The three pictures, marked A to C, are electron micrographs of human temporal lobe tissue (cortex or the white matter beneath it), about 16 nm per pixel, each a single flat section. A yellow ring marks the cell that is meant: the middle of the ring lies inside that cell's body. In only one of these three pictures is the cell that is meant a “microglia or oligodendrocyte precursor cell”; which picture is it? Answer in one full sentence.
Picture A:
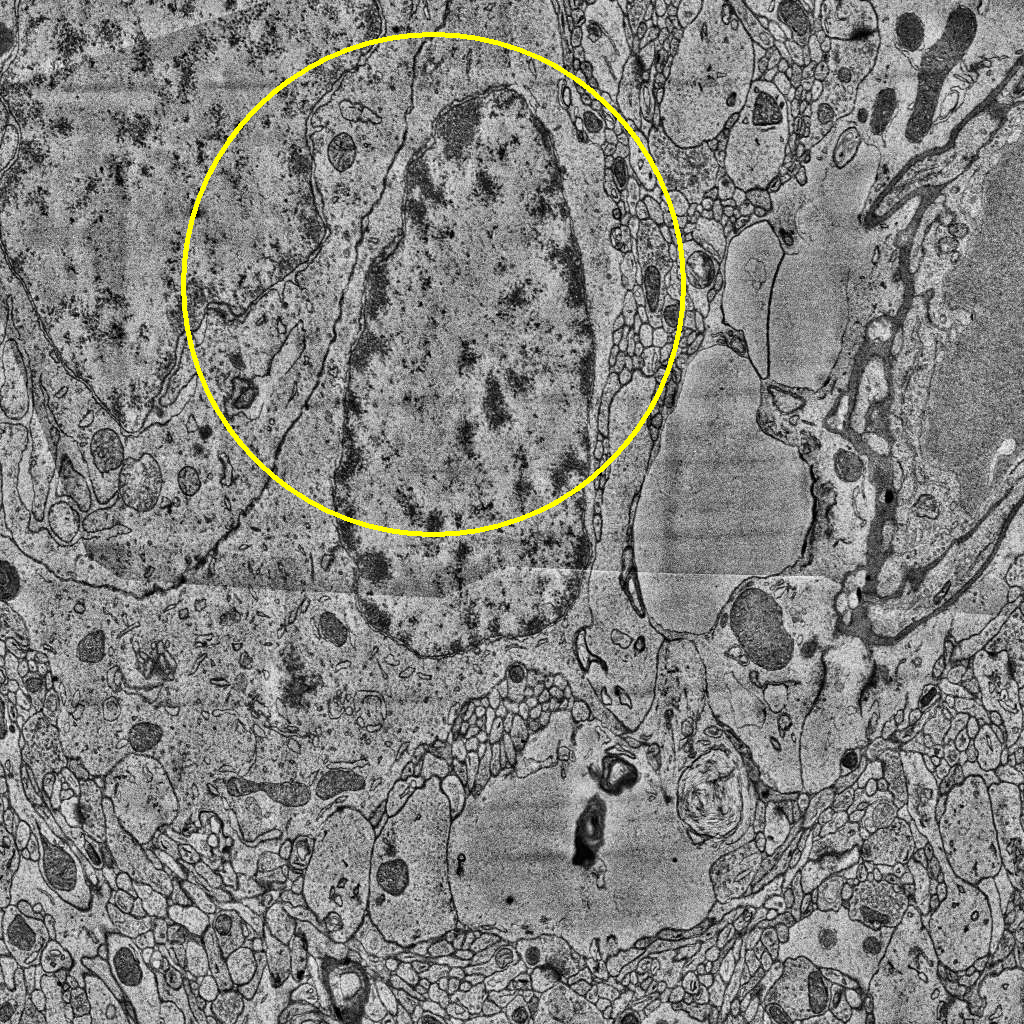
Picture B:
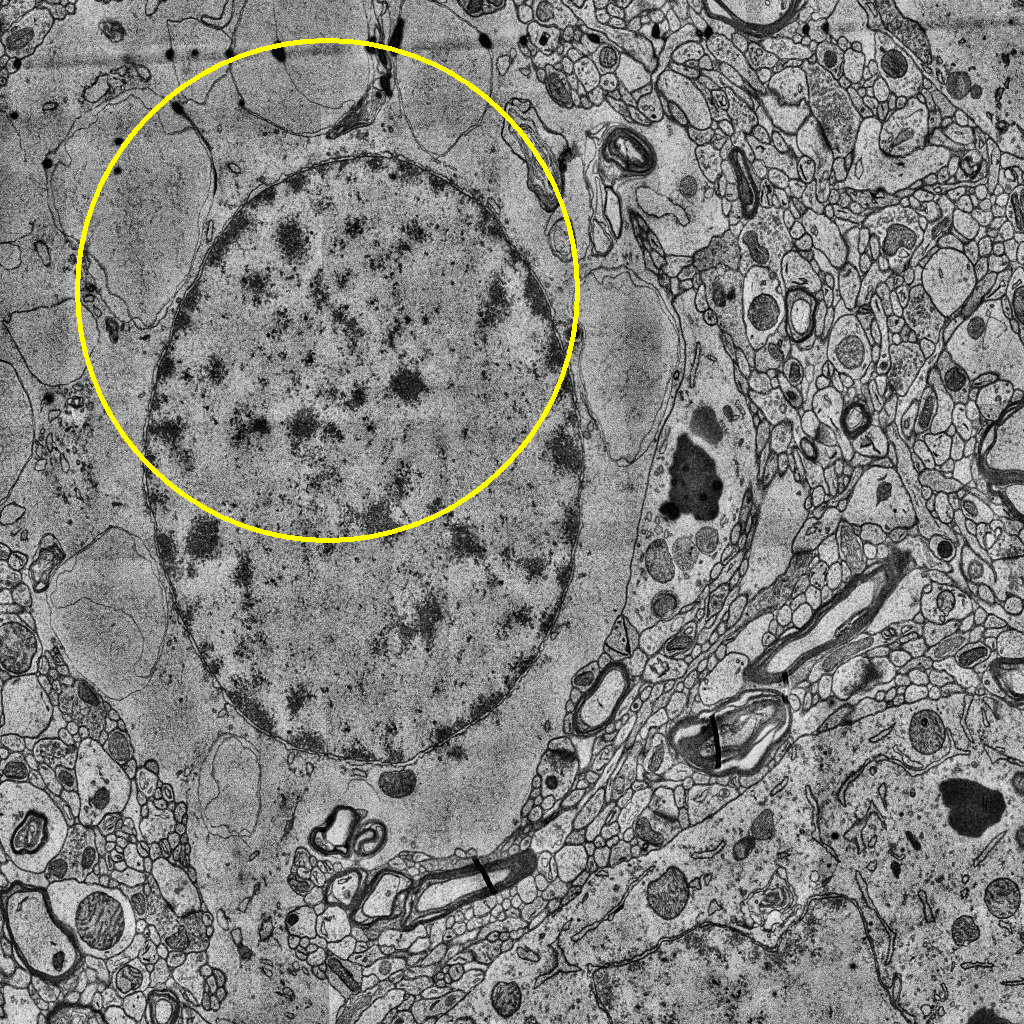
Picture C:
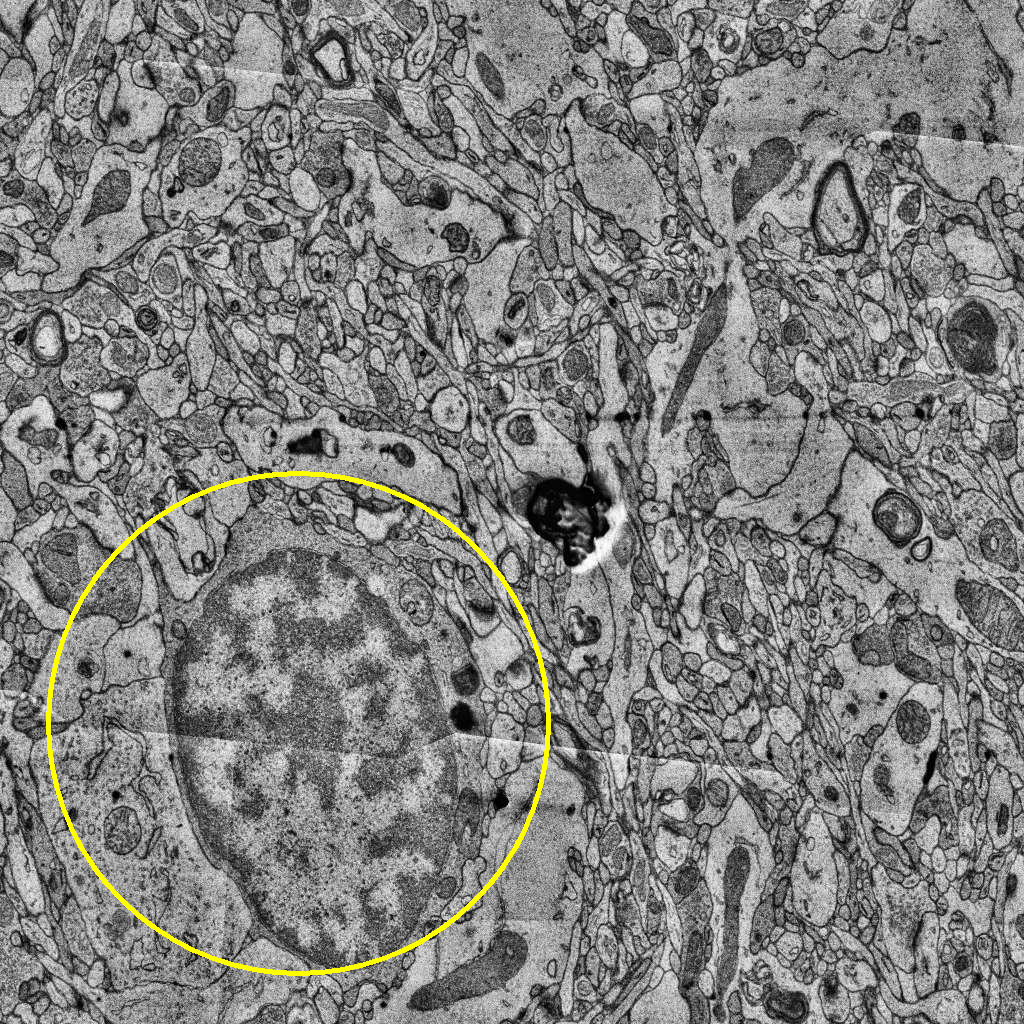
Picture A is the one that shows the “microglia or oligodendrocyte precursor cell”.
